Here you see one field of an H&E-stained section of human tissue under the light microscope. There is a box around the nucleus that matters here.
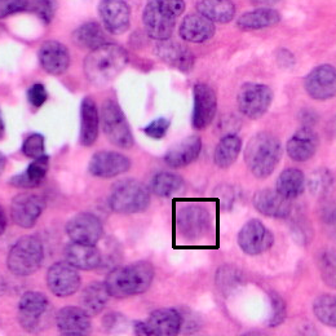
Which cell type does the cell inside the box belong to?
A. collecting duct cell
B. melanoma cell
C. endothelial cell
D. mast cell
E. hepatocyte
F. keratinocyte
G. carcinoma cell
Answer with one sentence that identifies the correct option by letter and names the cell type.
Right answer, option G: the cell inside the box is a carcinoma cell.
